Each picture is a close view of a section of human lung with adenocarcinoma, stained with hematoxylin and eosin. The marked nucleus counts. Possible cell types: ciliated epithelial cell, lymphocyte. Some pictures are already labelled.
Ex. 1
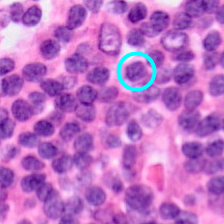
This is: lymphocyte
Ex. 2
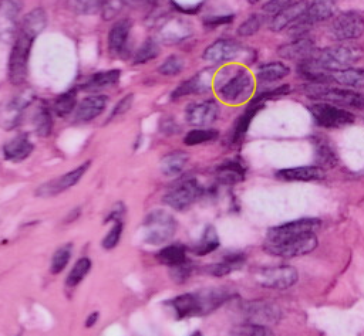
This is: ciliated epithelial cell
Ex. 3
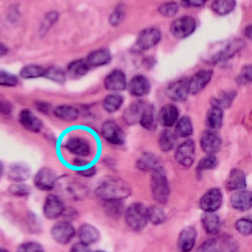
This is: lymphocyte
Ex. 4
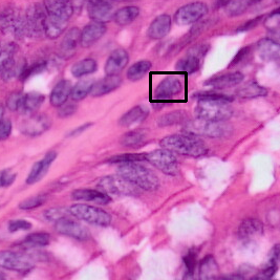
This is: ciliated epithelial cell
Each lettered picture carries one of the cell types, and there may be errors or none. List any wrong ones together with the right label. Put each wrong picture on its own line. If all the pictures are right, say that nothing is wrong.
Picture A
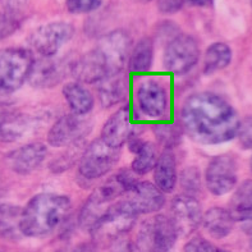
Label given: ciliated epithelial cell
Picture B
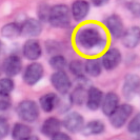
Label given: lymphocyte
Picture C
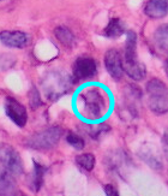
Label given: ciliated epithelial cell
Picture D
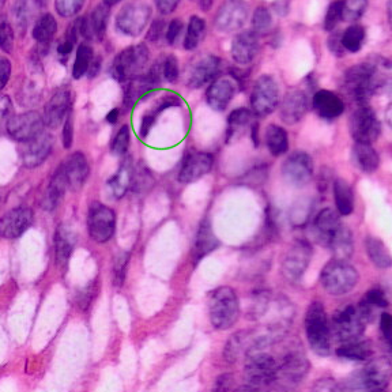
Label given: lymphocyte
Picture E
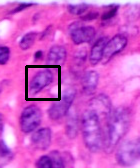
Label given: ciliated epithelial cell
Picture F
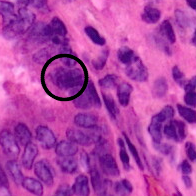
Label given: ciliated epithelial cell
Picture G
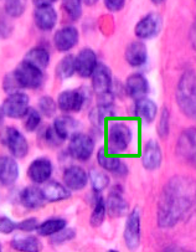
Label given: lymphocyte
Wrong: D (lymphocyte); correct: ciliated epithelial cell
